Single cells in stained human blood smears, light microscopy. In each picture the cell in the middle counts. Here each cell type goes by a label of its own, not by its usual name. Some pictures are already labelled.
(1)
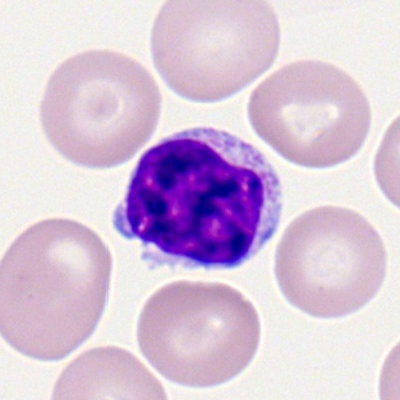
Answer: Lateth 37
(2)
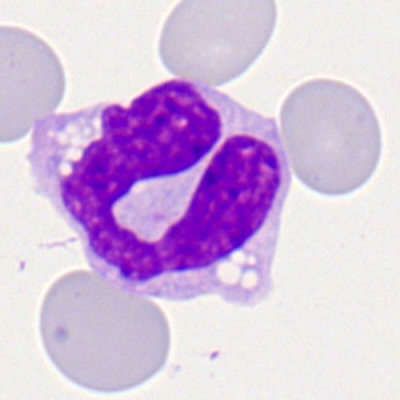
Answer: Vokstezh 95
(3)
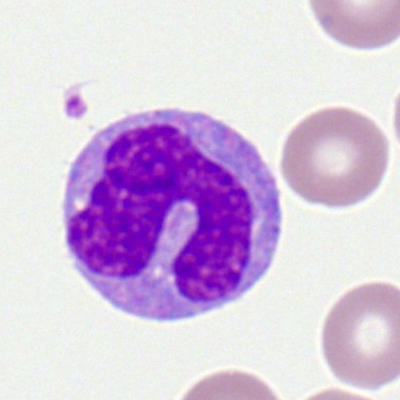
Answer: Vokstezh 95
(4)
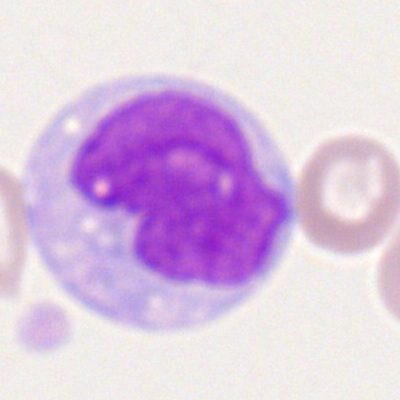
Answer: Vokstezh 95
